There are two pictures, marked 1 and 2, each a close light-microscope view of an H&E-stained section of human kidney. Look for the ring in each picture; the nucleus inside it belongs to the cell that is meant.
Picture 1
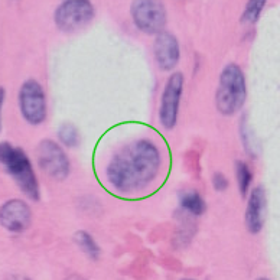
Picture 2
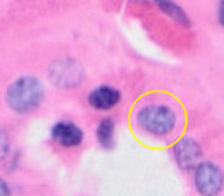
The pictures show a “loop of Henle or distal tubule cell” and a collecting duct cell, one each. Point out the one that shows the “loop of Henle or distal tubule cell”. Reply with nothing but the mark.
2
